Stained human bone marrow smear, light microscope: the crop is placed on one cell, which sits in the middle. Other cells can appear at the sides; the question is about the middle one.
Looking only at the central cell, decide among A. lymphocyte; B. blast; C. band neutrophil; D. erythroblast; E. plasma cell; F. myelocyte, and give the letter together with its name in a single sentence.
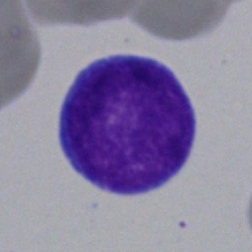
The cell right in the middle is a blast, so option B is the one.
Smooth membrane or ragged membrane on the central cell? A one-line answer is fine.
The outline traces a smooth curve with no projections along it.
